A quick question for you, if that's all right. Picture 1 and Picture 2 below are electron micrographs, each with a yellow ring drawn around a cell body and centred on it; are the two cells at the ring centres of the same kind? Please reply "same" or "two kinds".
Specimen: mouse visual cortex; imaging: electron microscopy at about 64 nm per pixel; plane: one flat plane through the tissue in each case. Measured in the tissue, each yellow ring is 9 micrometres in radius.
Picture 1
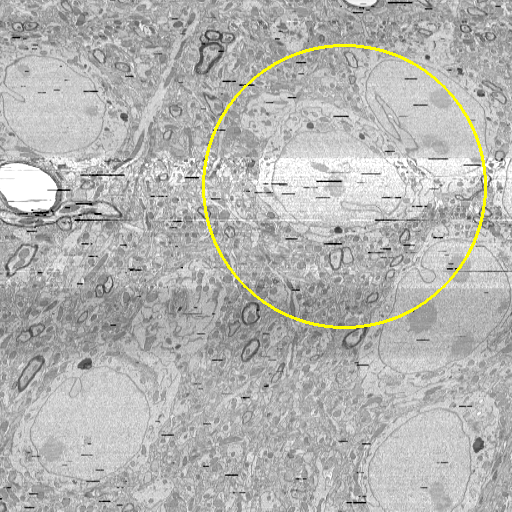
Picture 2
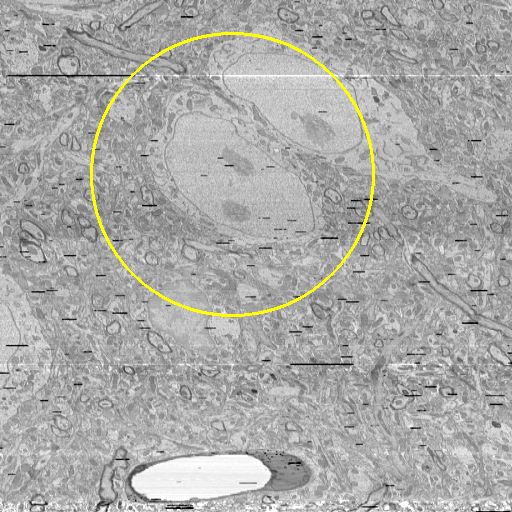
two kinds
